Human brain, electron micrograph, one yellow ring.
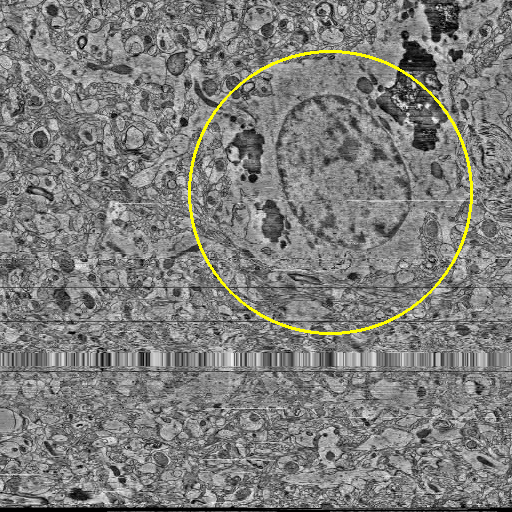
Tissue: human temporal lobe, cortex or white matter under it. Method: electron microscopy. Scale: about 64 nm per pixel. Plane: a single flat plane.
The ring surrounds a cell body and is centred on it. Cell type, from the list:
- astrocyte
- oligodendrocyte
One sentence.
The yellow ring circles an astrocyte.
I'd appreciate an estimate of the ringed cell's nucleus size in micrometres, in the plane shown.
The nucleus measures about 11 by 8 micrometres in this plane.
